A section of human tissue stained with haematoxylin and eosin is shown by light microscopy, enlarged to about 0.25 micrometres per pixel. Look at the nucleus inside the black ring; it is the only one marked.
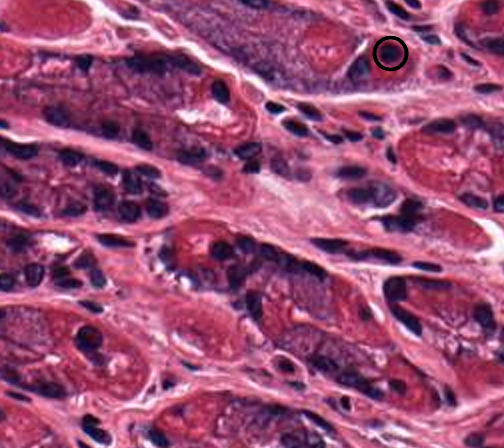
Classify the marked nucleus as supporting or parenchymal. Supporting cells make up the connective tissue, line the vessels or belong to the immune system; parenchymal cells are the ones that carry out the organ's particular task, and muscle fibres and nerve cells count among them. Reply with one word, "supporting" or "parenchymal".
parenchymal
